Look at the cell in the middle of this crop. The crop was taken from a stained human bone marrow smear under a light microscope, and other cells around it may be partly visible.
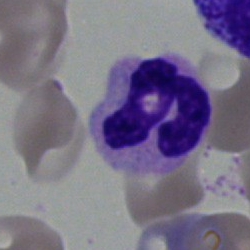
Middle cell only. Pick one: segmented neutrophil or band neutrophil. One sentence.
The central cell in this smear crop is a segmented neutrophil.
